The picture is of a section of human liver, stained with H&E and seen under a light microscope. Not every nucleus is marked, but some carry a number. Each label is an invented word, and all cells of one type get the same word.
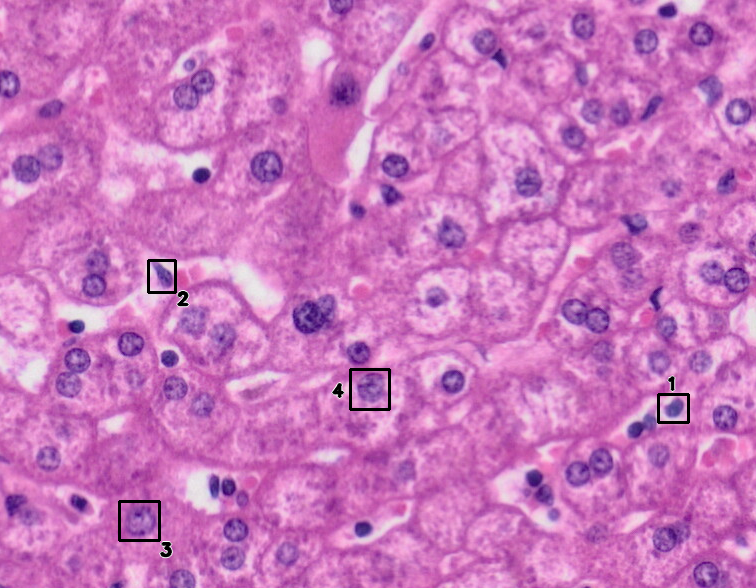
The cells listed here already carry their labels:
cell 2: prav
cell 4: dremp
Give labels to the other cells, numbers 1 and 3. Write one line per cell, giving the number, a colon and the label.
1: prav
3: dremp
